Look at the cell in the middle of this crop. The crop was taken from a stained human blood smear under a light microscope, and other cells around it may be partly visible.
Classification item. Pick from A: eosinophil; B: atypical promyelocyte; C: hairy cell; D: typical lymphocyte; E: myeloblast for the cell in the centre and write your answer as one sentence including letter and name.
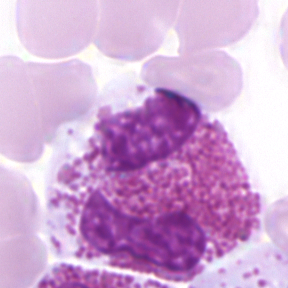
Option A is correct, and the cell in the centre is an eosinophil.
